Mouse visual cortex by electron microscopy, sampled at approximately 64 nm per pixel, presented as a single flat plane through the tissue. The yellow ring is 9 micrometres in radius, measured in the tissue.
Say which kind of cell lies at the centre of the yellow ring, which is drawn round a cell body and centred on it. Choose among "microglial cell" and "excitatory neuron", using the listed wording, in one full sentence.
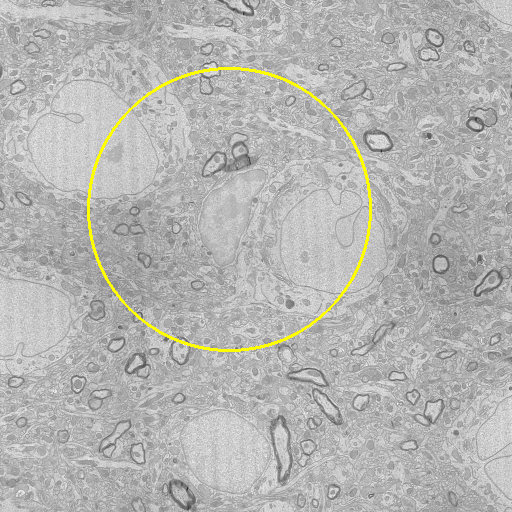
Going by the list, the cell at the yellow ring's centre is a microglial cell.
